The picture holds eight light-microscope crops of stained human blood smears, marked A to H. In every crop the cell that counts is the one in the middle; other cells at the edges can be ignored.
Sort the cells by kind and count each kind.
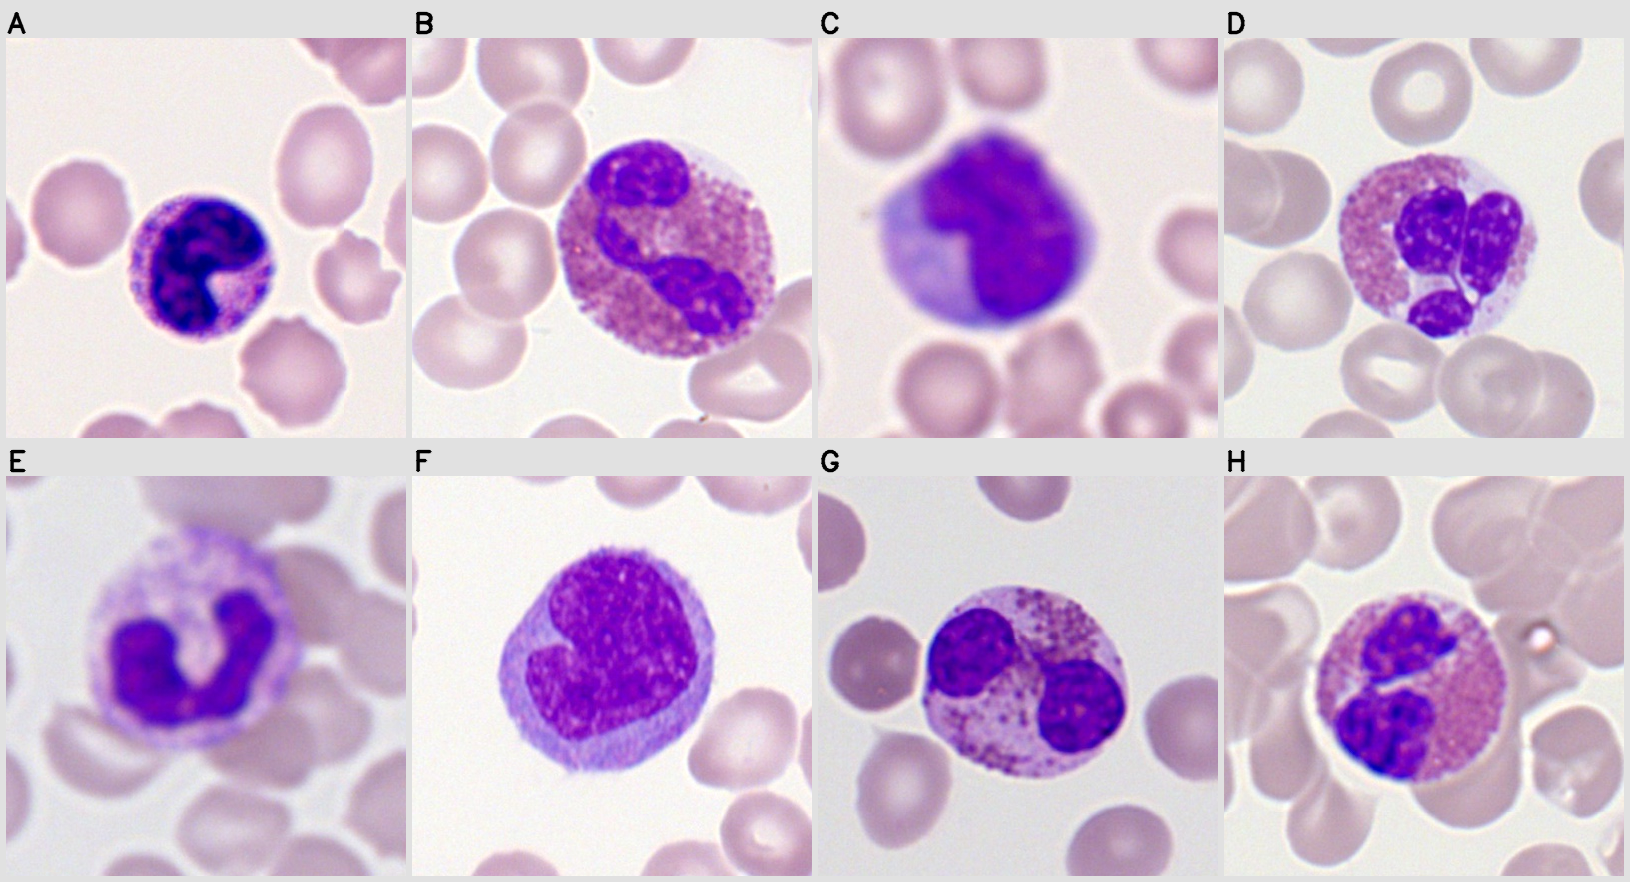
eosinophil: 4
band neutrophil: 2
monocyte: 2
